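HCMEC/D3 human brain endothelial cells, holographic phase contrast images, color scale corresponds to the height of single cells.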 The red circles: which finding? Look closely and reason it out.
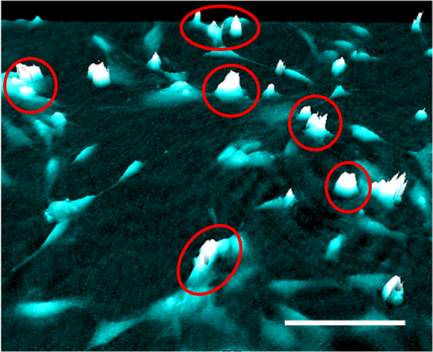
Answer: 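The circled cells stand up as tall, bright white peaks above the flat surrounding cells. Several circled cells are compact and rounded rather than spread and elongated. Some circled cells show jagged, spiky tops.
Hence: drastical changes in cell morphology.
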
